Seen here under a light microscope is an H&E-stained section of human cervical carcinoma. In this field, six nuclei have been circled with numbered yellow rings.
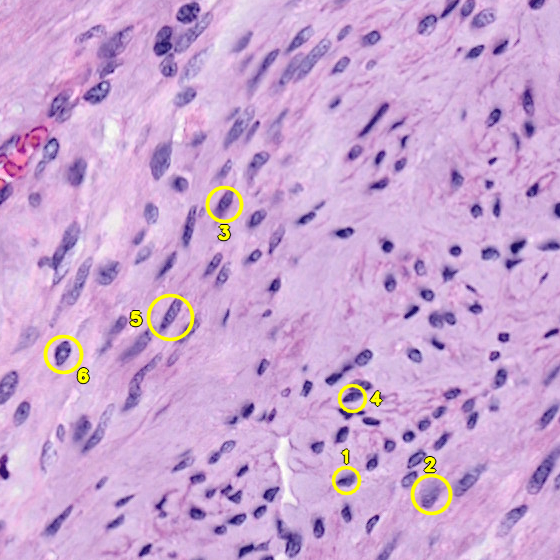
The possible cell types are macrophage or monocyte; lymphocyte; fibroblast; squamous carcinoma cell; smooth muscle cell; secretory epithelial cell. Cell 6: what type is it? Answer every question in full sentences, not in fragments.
Regarding cell 6, this one is a lymphocyte.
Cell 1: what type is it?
The numbered cell 1 is identified here as a fibroblast.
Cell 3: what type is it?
The one labeled 3 is a smooth muscle cell, to put it simply.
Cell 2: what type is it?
In this section, the cell numbered 2 is a smooth muscle cell.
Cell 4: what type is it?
Cell 4 of the marked set is a fibroblast.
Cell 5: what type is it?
Heads up, the cell numbered 5 is a smooth muscle cell.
